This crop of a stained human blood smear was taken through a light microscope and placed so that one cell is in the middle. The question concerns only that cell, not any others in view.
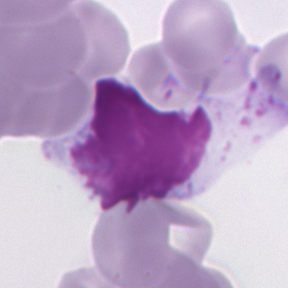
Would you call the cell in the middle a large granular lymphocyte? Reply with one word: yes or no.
yes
